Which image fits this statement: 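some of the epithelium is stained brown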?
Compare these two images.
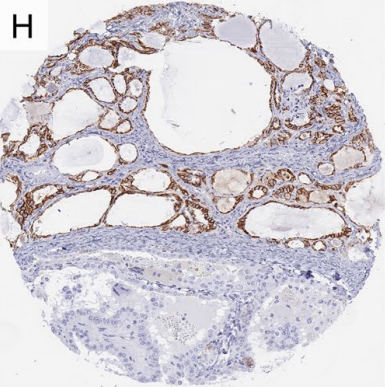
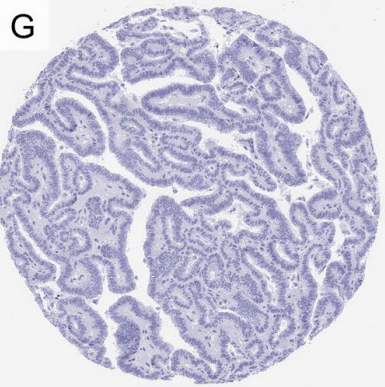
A: the first image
